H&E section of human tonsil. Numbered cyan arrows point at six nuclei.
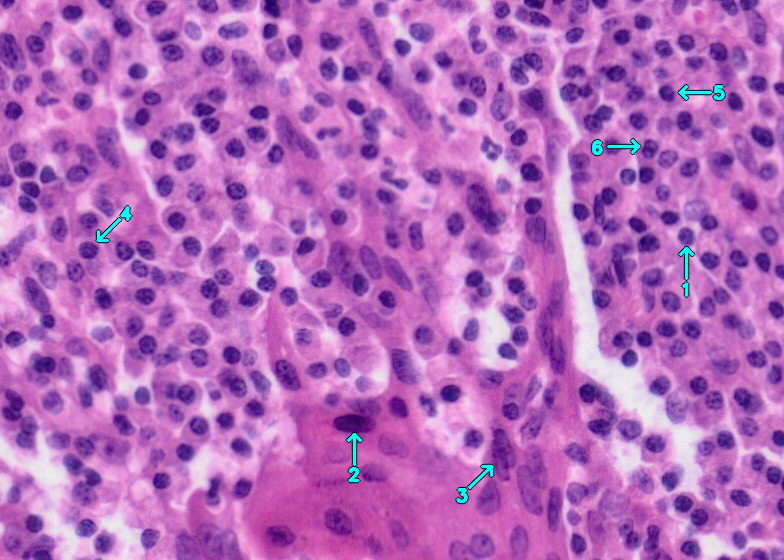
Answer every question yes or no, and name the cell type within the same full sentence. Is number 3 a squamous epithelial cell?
Yes, as for number 3, the cell is a squamous epithelial cell.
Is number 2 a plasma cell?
No, the cell carrying number 2 is a squamous epithelial cell, not a plasma cell.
